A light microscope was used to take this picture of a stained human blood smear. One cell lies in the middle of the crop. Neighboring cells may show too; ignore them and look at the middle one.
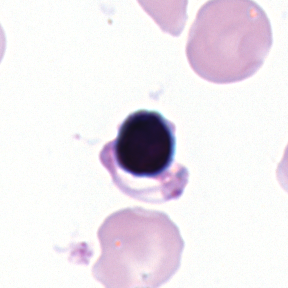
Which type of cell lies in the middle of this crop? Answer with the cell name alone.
normoblast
